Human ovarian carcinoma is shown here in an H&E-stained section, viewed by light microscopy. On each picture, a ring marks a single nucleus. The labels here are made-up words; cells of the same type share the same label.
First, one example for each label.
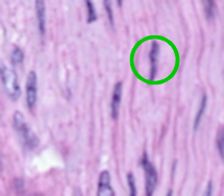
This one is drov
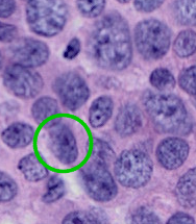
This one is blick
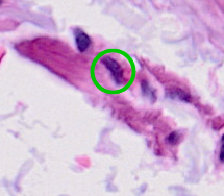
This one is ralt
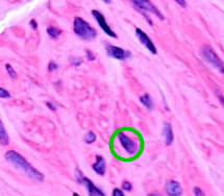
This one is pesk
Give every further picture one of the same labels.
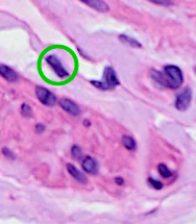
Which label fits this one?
drov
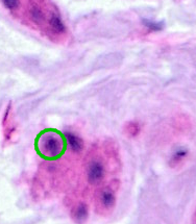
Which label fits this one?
pesk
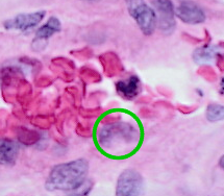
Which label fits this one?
ralt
